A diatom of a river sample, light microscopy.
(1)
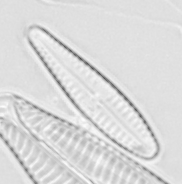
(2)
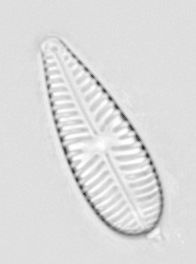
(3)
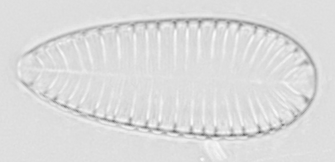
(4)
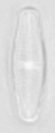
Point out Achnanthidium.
That is picture 4.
